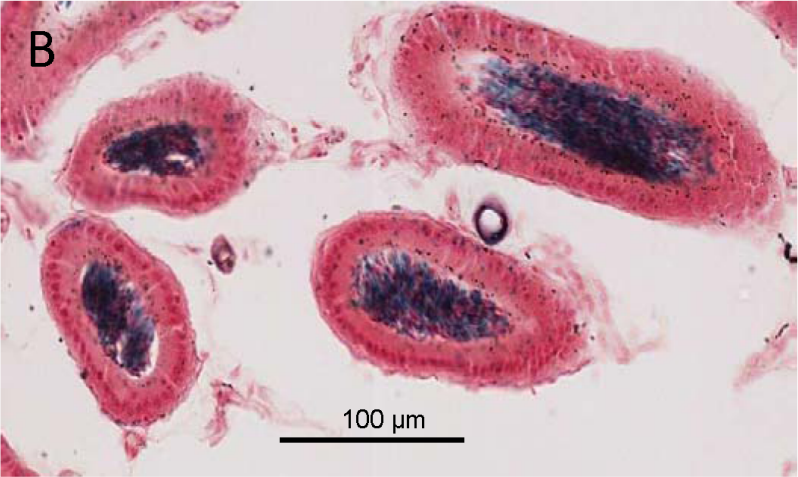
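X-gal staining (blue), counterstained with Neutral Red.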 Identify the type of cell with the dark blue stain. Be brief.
Spermatozoa.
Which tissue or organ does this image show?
epididymis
